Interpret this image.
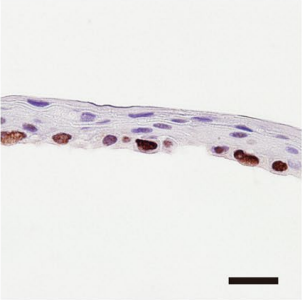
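A thin layered squamous epithelial sheet in which many nuclei along the basal layer are stained dark brown. The overlying cells are flatter, with pale blue nuclei and no brown staining.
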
